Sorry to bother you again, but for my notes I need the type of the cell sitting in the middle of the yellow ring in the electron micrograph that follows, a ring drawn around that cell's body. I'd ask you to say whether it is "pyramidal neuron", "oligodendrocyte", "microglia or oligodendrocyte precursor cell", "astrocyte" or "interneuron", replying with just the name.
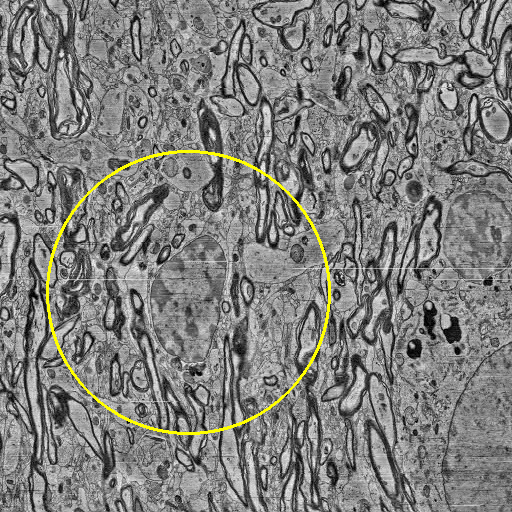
microglia or oligodendrocyte precursor cell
